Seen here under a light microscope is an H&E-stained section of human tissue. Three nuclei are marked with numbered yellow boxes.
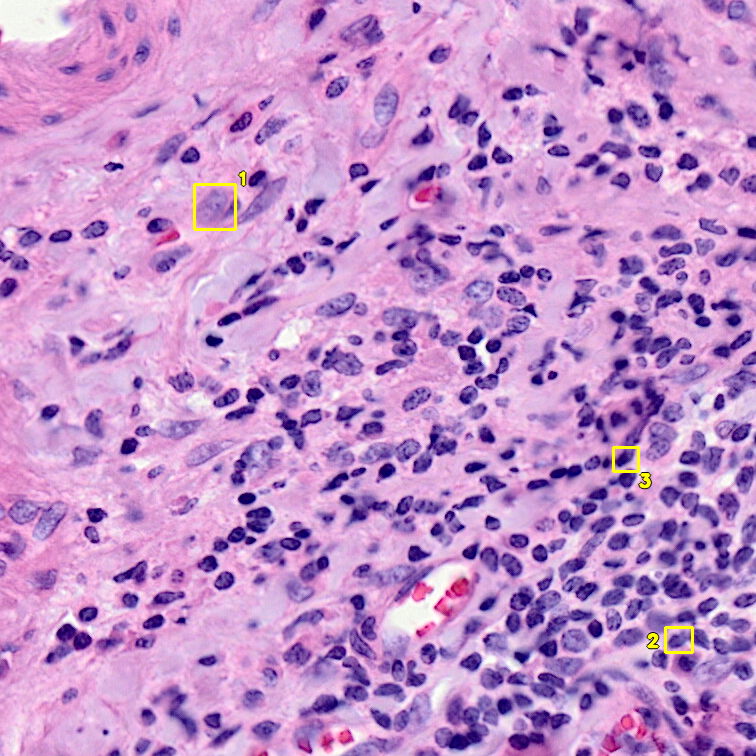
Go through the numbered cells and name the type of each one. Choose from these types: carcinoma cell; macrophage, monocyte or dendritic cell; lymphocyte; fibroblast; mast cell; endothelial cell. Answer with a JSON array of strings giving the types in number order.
["endothelial cell", "lymphocyte", "lymphocyte"]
